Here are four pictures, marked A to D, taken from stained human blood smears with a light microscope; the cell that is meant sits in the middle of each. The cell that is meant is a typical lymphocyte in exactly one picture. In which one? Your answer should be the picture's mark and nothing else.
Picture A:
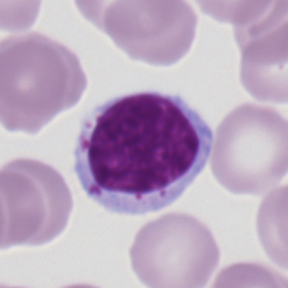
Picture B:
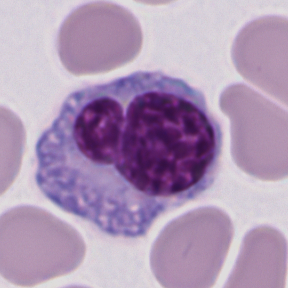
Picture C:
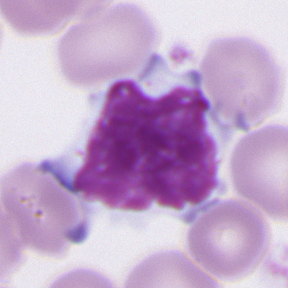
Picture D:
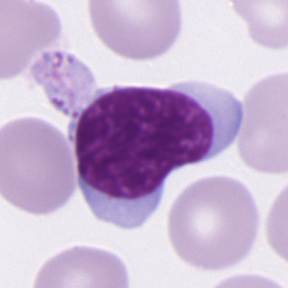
C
